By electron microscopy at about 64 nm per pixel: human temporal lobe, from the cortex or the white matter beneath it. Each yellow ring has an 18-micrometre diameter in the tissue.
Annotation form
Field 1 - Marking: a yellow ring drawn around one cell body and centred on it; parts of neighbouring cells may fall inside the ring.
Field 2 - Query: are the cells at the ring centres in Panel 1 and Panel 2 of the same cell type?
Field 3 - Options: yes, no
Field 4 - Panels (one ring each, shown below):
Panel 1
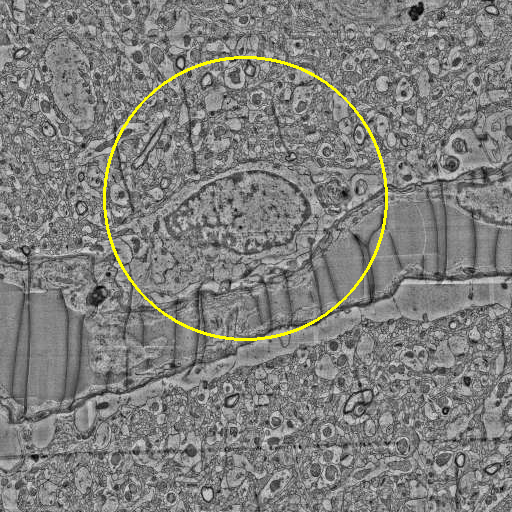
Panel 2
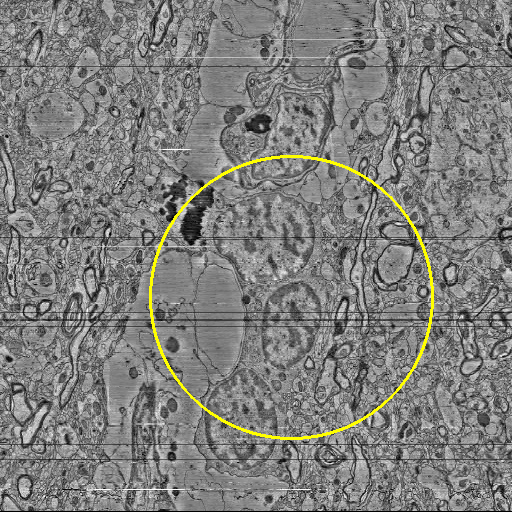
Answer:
no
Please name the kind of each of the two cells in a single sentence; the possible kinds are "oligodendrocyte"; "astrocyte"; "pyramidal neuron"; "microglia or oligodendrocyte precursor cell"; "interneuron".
In the first picture the ring is centred on a microglial cell or oligodendrocyte precursor cell, and in the second on an oligodendrocyte.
